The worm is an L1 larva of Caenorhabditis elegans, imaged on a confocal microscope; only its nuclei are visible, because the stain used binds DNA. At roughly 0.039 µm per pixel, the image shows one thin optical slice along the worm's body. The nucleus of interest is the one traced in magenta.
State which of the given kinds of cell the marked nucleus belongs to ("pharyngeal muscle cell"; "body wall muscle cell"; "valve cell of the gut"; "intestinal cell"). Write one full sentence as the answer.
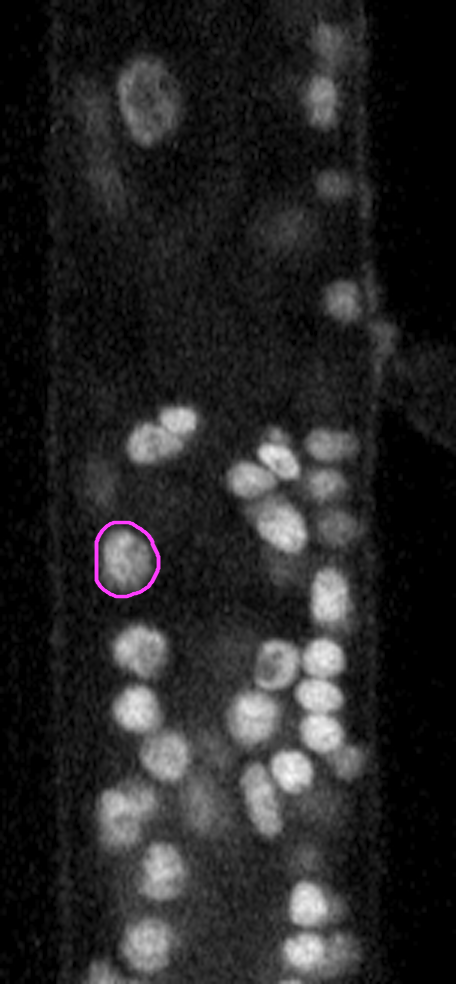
What is marked is the nucleus of a pharyngeal muscle cell.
